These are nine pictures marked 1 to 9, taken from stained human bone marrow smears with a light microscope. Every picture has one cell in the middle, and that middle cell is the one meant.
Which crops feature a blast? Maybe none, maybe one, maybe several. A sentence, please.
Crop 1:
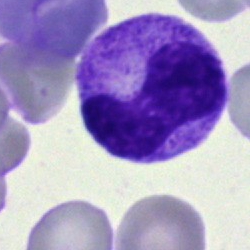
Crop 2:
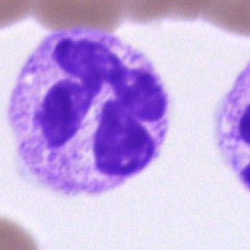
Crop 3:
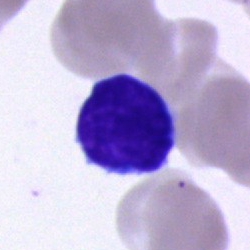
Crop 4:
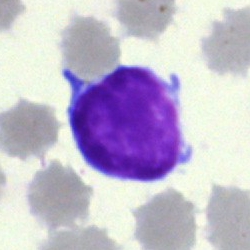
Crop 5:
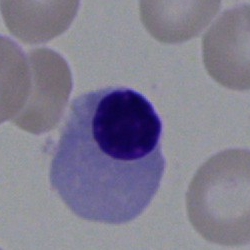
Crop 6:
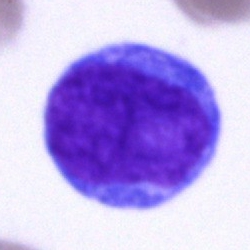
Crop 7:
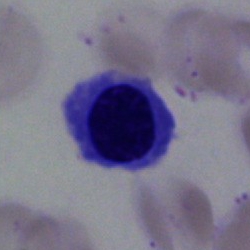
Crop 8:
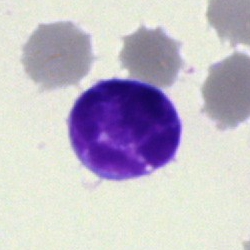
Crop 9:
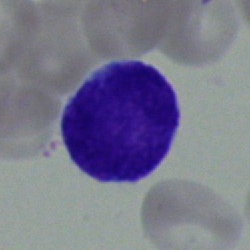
The cells at the centre of the crops labelled 6 and 9 are blasts.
